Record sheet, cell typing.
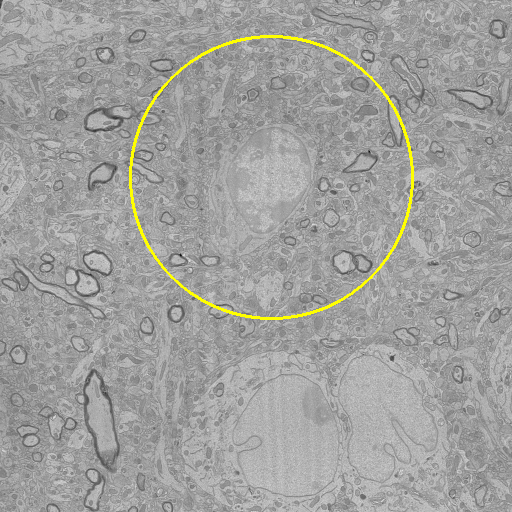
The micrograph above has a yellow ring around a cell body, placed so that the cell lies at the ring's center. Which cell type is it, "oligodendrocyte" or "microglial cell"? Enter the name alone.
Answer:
oligodendrocyte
